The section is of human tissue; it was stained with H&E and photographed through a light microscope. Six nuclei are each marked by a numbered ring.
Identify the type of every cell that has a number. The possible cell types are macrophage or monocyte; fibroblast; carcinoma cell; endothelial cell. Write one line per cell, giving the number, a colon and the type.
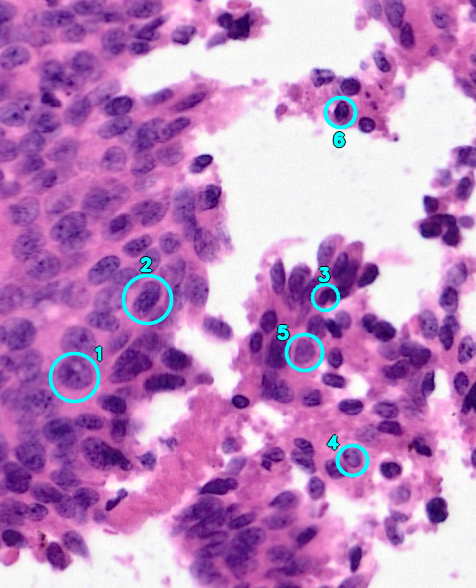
1: carcinoma cell
2: carcinoma cell
3: carcinoma cell
4: macrophage or monocyte
5: carcinoma cell
6: macrophage or monocyte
